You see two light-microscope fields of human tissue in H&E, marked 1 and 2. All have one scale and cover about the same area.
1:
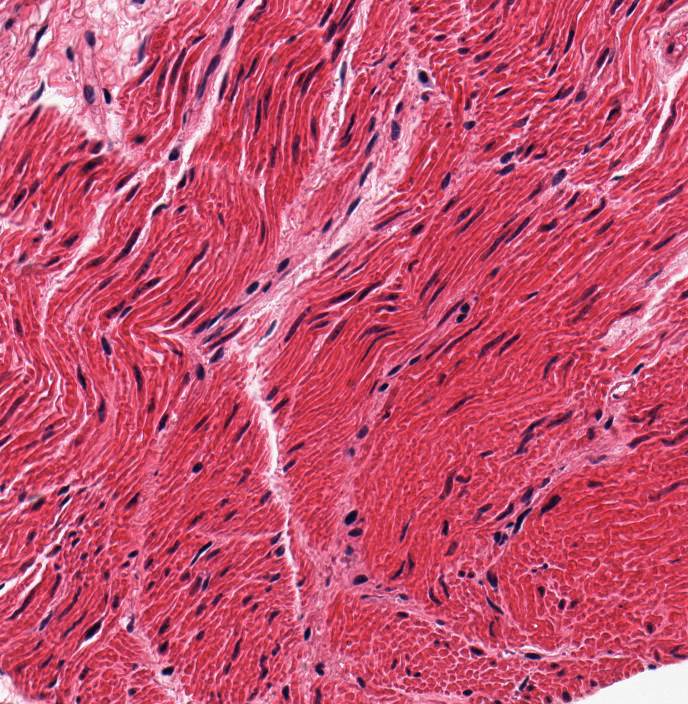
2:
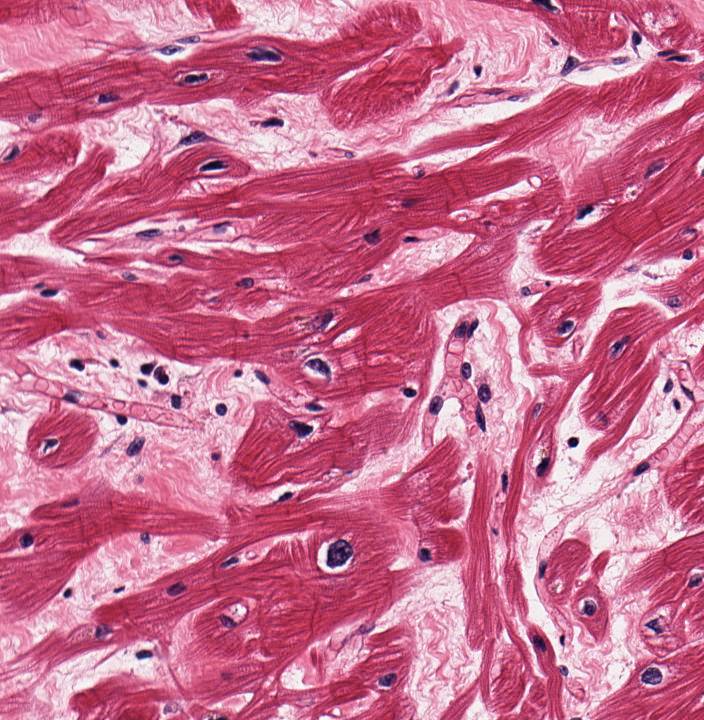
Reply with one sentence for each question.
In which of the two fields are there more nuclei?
More nuclei lie in field 1 than in field 2.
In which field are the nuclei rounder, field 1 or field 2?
On the whole the nuclei of field 2 are rounder than those of field 1.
